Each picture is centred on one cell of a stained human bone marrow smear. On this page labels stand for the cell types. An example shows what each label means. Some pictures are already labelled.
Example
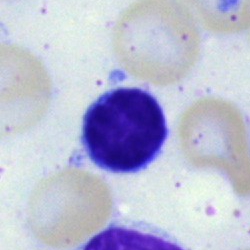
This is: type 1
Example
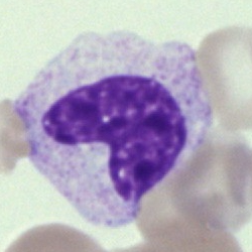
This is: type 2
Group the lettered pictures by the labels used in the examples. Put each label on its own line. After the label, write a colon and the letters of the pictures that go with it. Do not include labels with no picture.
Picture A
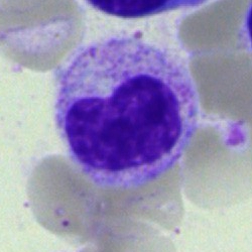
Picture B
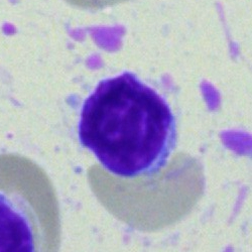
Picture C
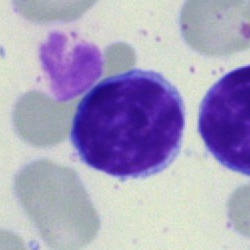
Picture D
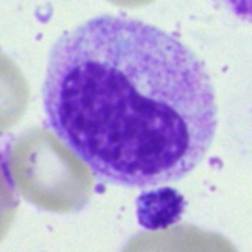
type 1: B, C
type 2: A, D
